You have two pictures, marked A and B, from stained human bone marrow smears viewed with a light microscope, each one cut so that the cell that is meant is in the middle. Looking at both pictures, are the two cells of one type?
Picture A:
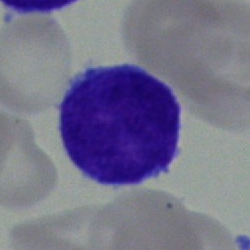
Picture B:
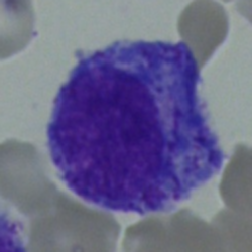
no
